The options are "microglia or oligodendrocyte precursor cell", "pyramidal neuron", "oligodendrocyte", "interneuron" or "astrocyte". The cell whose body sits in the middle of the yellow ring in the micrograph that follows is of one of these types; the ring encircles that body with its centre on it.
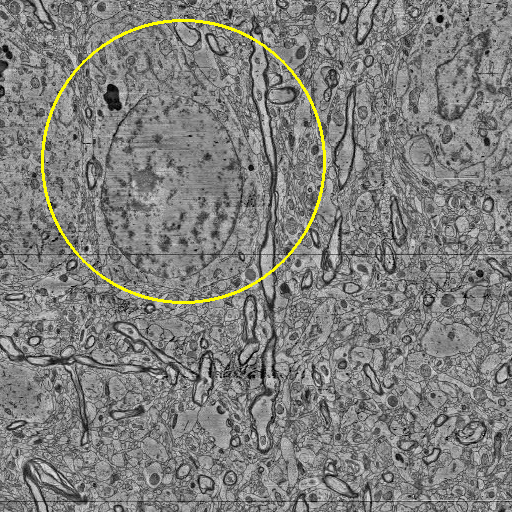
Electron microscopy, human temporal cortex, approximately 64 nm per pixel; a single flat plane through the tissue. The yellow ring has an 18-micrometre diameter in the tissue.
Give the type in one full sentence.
Going by the micrograph, the cell centred in the yellow ring is a pyramidal neuron.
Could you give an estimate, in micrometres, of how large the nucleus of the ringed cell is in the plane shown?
In this plane the nucleus measures roughly 12 by 9 micrometers.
